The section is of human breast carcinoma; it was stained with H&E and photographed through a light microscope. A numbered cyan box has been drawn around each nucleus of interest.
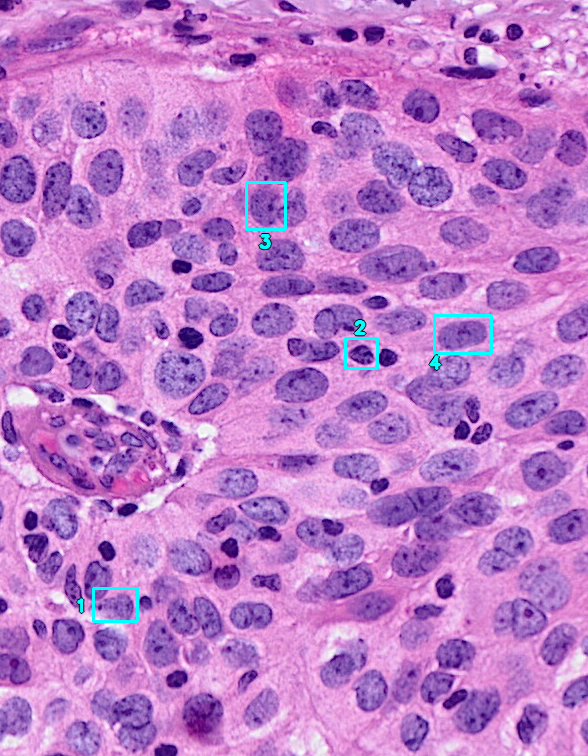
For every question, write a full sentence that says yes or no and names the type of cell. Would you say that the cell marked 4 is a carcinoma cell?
Yes, with respect to number 4, the cell is a carcinoma cell.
